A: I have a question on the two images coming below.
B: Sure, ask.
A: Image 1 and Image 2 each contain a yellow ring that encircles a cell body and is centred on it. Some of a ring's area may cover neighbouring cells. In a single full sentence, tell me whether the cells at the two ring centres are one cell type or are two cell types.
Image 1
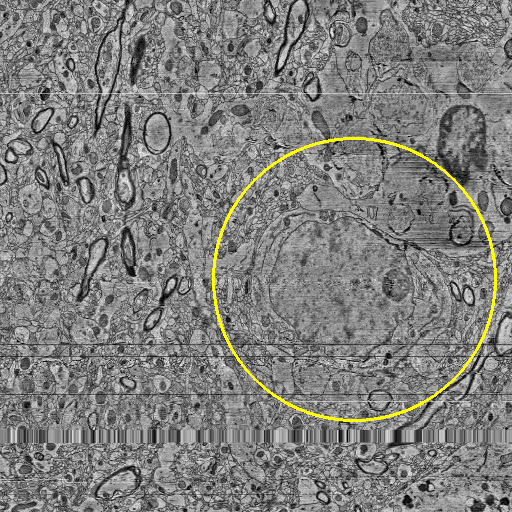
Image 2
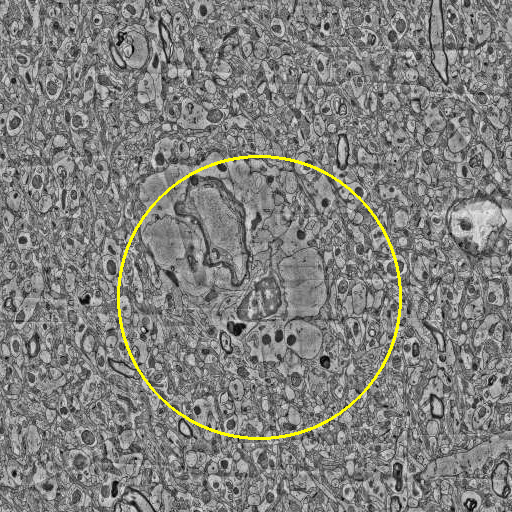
As for the ring-centre cells, the one in Image 1 and the one in Image 2 are two cell types.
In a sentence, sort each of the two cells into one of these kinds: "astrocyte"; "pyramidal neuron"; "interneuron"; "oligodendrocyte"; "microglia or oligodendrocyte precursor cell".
The first of the two cells is an interneuron, and the second is a microglial cell or oligodendrocyte precursor cell.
